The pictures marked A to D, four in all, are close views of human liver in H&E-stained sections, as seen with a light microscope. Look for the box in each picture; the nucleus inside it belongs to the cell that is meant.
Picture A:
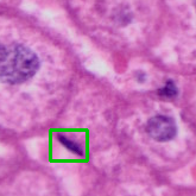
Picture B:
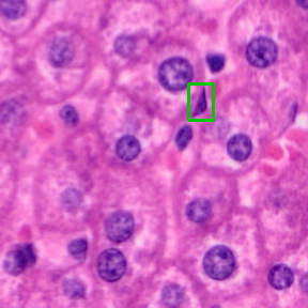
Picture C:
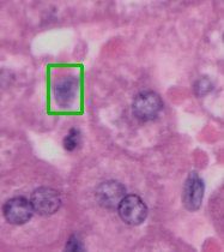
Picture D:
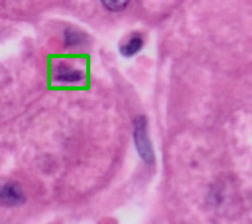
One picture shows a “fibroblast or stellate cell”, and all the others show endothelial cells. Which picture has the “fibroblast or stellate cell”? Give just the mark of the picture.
D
